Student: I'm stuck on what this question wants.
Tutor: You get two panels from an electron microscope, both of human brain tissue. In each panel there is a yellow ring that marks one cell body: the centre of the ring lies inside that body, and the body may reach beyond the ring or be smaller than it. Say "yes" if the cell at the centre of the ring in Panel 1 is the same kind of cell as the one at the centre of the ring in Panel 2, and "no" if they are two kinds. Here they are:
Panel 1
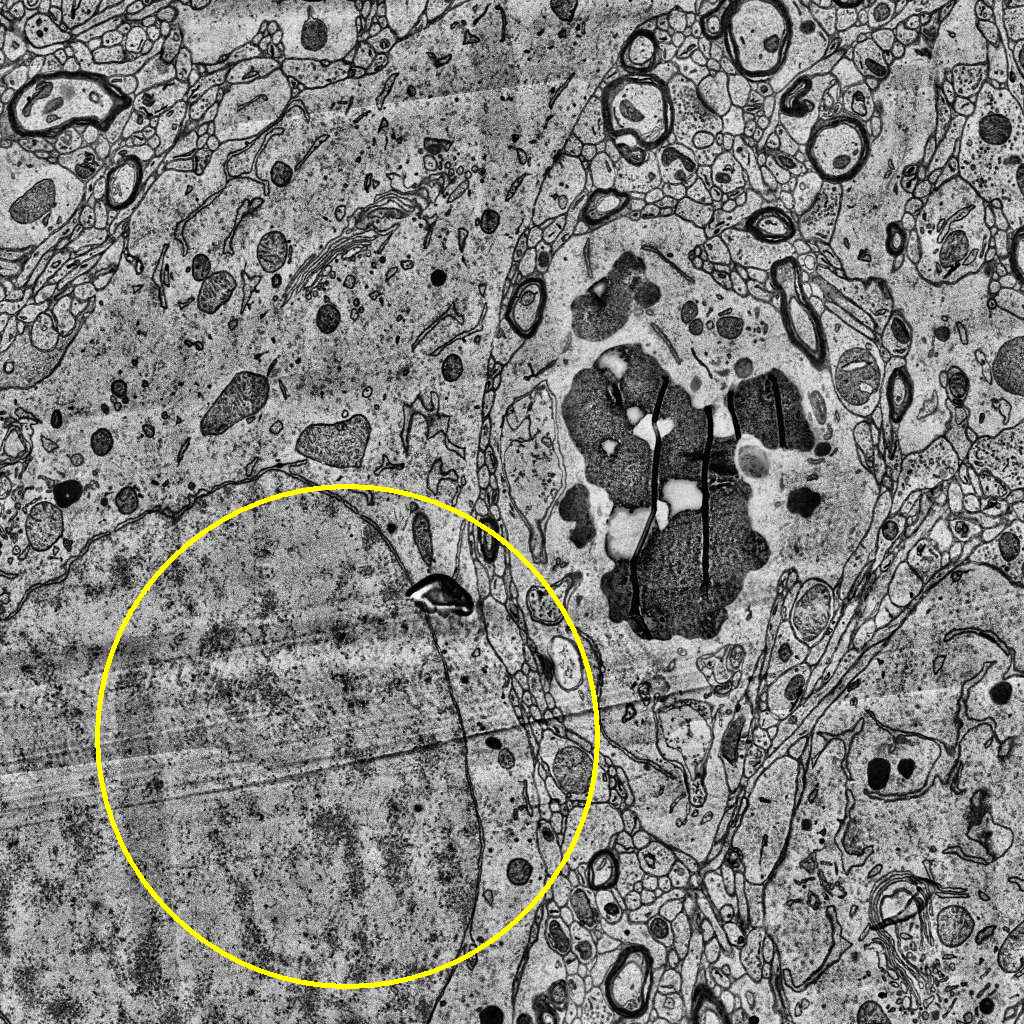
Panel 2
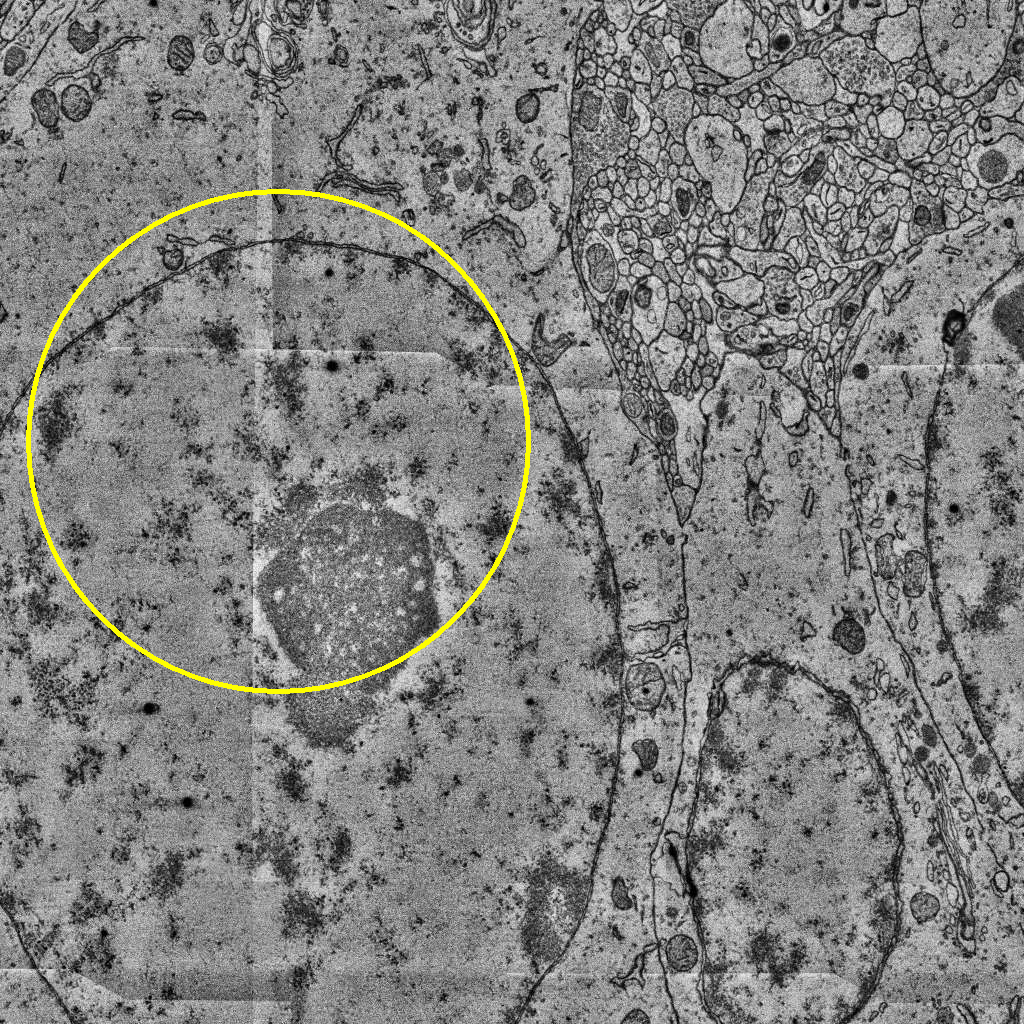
yes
